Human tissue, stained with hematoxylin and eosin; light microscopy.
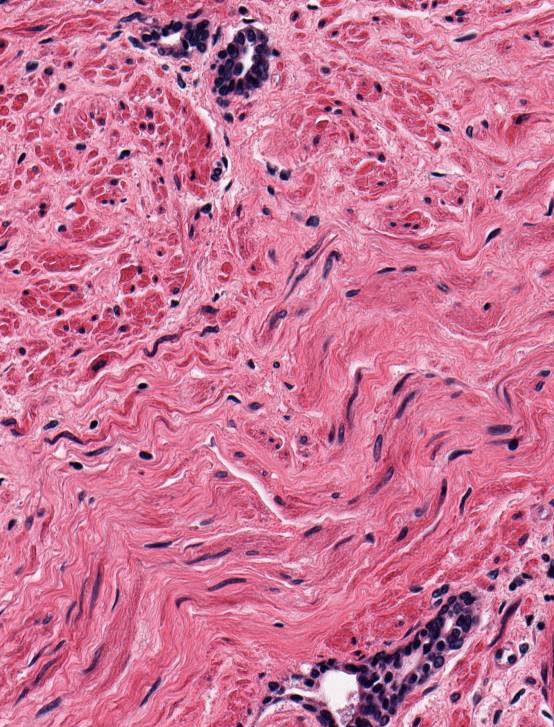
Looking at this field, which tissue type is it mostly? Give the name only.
fibromuscular stroma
